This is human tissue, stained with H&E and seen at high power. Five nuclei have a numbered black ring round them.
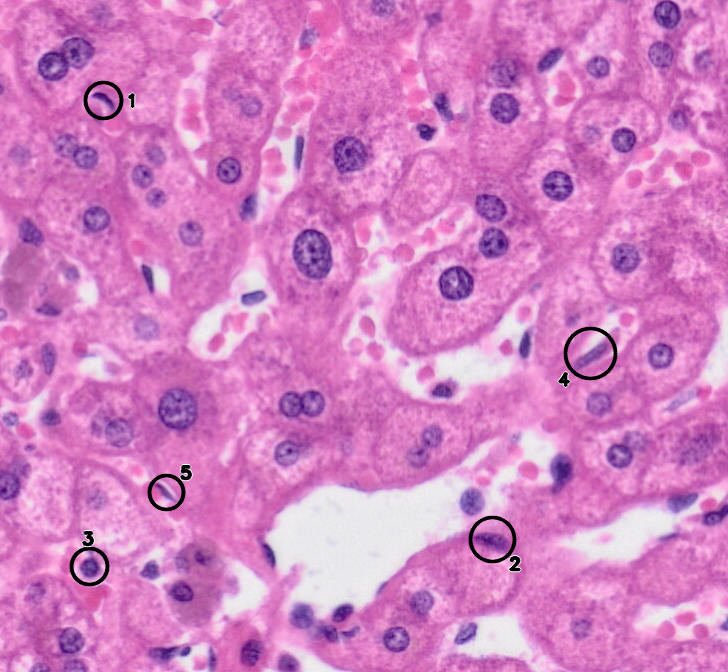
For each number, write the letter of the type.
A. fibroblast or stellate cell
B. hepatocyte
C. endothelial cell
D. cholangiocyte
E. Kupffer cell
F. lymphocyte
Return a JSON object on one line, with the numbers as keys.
{"1": "C", "2": "A", "3": "F", "4": "E", "5": "C"}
